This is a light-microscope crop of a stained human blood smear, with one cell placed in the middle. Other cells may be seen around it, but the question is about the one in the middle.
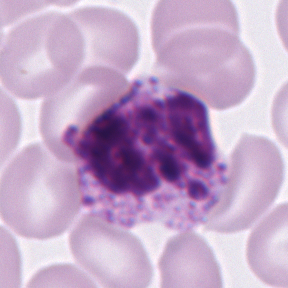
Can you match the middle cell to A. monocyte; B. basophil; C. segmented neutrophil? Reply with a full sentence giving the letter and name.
Identified correctly by option B, the cell in the middle is a basophil.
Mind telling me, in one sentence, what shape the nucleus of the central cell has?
The key feature is a nucleus with multiple lobes.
